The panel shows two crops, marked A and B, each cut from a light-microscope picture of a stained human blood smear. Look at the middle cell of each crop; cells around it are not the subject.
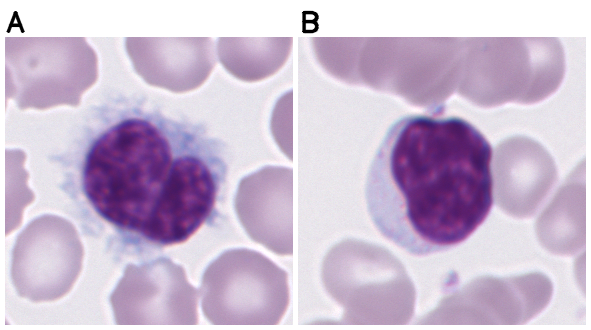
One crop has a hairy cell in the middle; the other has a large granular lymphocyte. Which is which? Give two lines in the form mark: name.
A: hairy cell
B: large granular lymphocyte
